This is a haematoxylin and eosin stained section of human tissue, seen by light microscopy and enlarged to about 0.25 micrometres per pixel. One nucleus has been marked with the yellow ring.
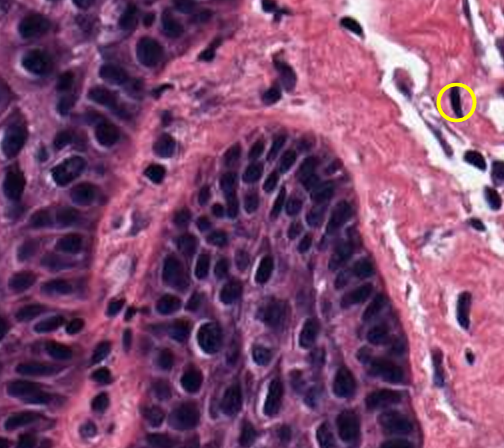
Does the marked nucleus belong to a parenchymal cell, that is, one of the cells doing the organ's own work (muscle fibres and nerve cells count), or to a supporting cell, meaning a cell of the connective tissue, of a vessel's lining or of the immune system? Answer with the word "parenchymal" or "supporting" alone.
supporting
